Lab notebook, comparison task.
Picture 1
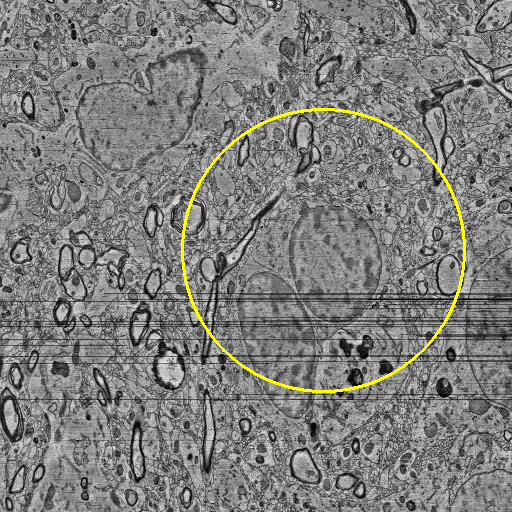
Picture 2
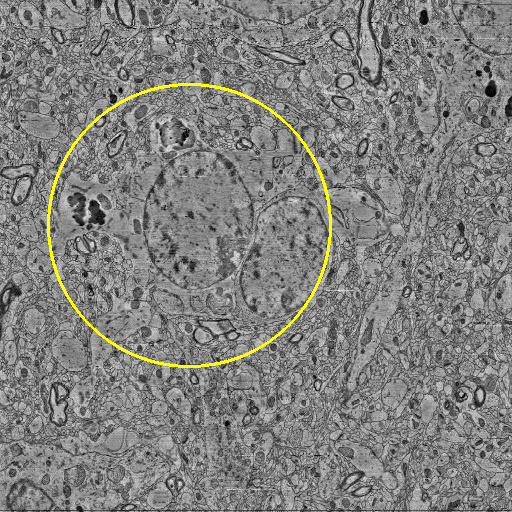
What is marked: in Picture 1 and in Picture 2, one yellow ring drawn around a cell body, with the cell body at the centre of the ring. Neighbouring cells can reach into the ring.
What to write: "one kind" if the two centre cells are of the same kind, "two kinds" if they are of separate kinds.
two kinds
